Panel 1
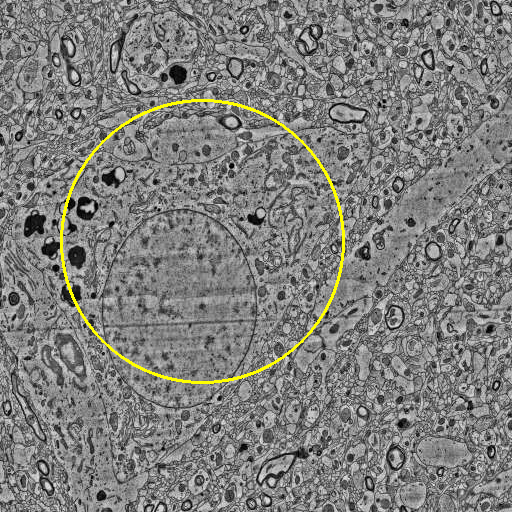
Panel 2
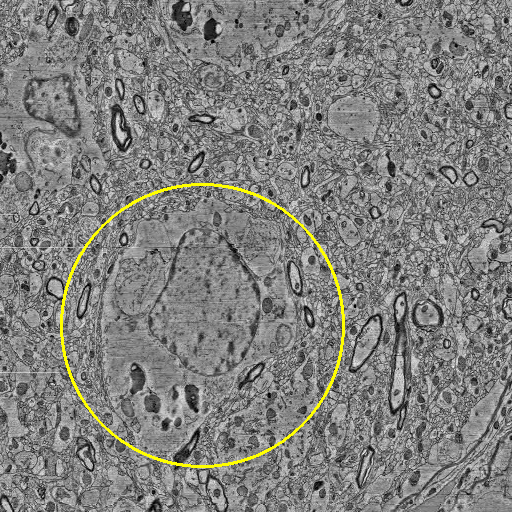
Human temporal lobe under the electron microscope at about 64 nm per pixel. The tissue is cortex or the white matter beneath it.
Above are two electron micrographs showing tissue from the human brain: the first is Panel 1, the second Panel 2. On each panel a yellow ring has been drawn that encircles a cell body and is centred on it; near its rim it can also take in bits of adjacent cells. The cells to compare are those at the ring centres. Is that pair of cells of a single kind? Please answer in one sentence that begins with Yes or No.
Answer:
No, the ring-centred cells of Panel 1 and Panel 2 belong to two kinds.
